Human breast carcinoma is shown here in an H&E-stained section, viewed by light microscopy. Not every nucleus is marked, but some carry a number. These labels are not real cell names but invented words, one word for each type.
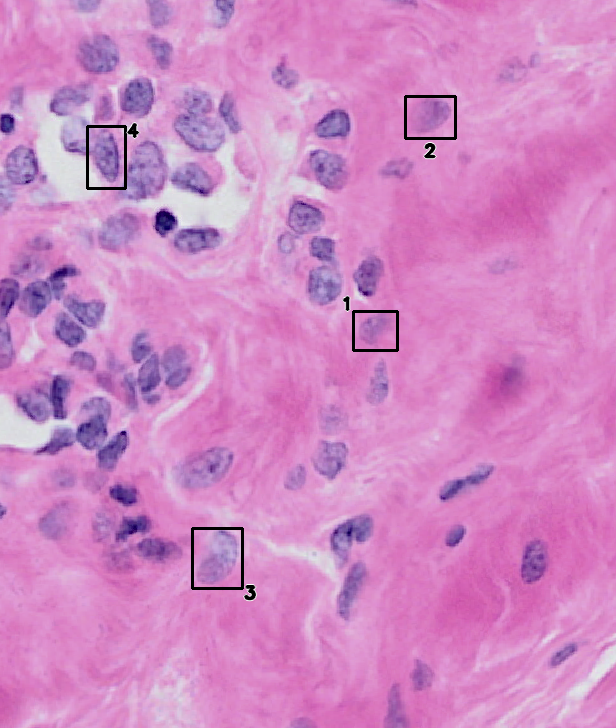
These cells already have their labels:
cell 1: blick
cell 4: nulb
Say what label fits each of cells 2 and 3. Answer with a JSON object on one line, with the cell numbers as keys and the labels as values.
{"2": "blick", "3": "blick"}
